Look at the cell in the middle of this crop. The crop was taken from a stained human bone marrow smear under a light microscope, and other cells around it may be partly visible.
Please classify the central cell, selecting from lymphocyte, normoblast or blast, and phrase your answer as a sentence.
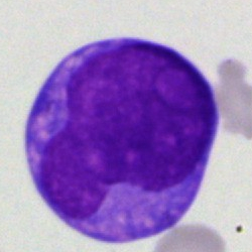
Located at the centre of the crop is a blast.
